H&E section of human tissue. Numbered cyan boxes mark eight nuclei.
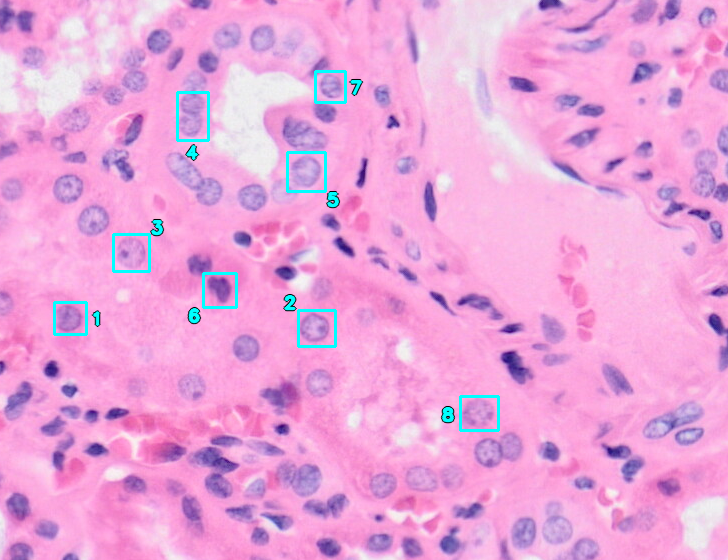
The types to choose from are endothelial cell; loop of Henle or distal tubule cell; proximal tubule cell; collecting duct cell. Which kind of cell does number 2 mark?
proximal tubule cell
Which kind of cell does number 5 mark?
collecting duct cell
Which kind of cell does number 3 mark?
proximal tubule cell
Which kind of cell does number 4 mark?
collecting duct cell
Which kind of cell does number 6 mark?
proximal tubule cell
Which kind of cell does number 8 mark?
proximal tubule cell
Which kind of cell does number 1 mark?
proximal tubule cell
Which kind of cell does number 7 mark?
collecting duct cell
